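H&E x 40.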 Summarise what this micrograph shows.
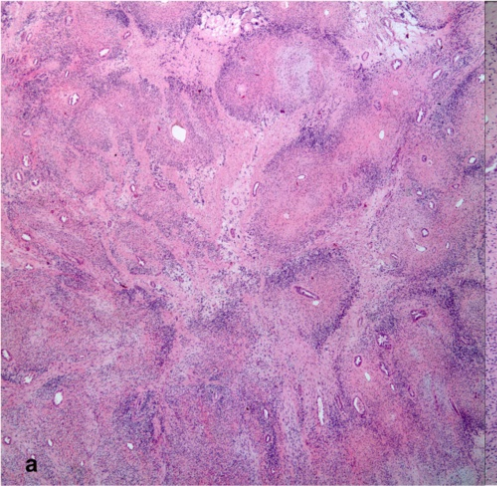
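At low power, this stromal lesion shows a lobular, micronodular pattern. Numerous rounded nodules fill the field, each with a pale pink, sparsely cellular centre bordered by a darker purple band of densely packed cells. Small tubules with open lumens are scattered through the nodules and the tissue between them. The nodules are separated by paler fibrous stroma, which gives the whole section a mottled, patchwork appearance.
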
